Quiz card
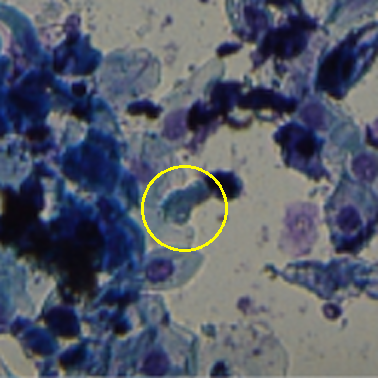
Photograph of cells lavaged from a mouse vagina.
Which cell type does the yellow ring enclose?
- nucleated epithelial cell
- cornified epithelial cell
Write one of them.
cornified epithelial cell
